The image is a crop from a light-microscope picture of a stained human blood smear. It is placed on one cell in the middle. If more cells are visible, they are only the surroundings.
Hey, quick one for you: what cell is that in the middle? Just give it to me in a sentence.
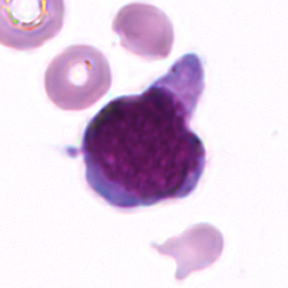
Classification of the middle cell gives an atypical promyelocyte.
